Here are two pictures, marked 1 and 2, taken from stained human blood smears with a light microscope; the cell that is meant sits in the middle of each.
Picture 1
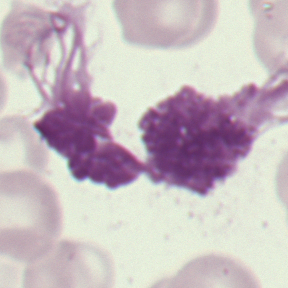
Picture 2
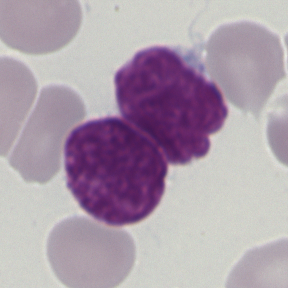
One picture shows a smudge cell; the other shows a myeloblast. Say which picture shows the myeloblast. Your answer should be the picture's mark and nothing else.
2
